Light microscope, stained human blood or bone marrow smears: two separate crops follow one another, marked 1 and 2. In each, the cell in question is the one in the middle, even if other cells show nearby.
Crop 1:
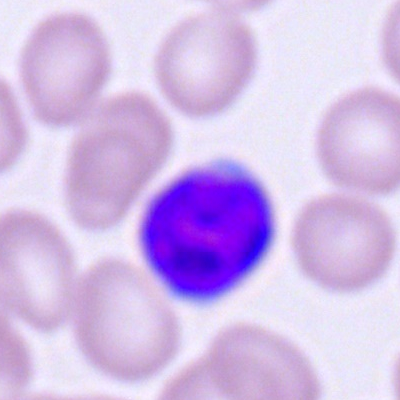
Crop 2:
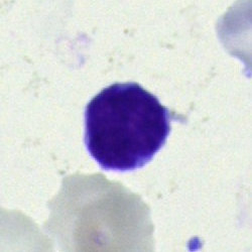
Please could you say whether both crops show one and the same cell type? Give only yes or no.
yes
